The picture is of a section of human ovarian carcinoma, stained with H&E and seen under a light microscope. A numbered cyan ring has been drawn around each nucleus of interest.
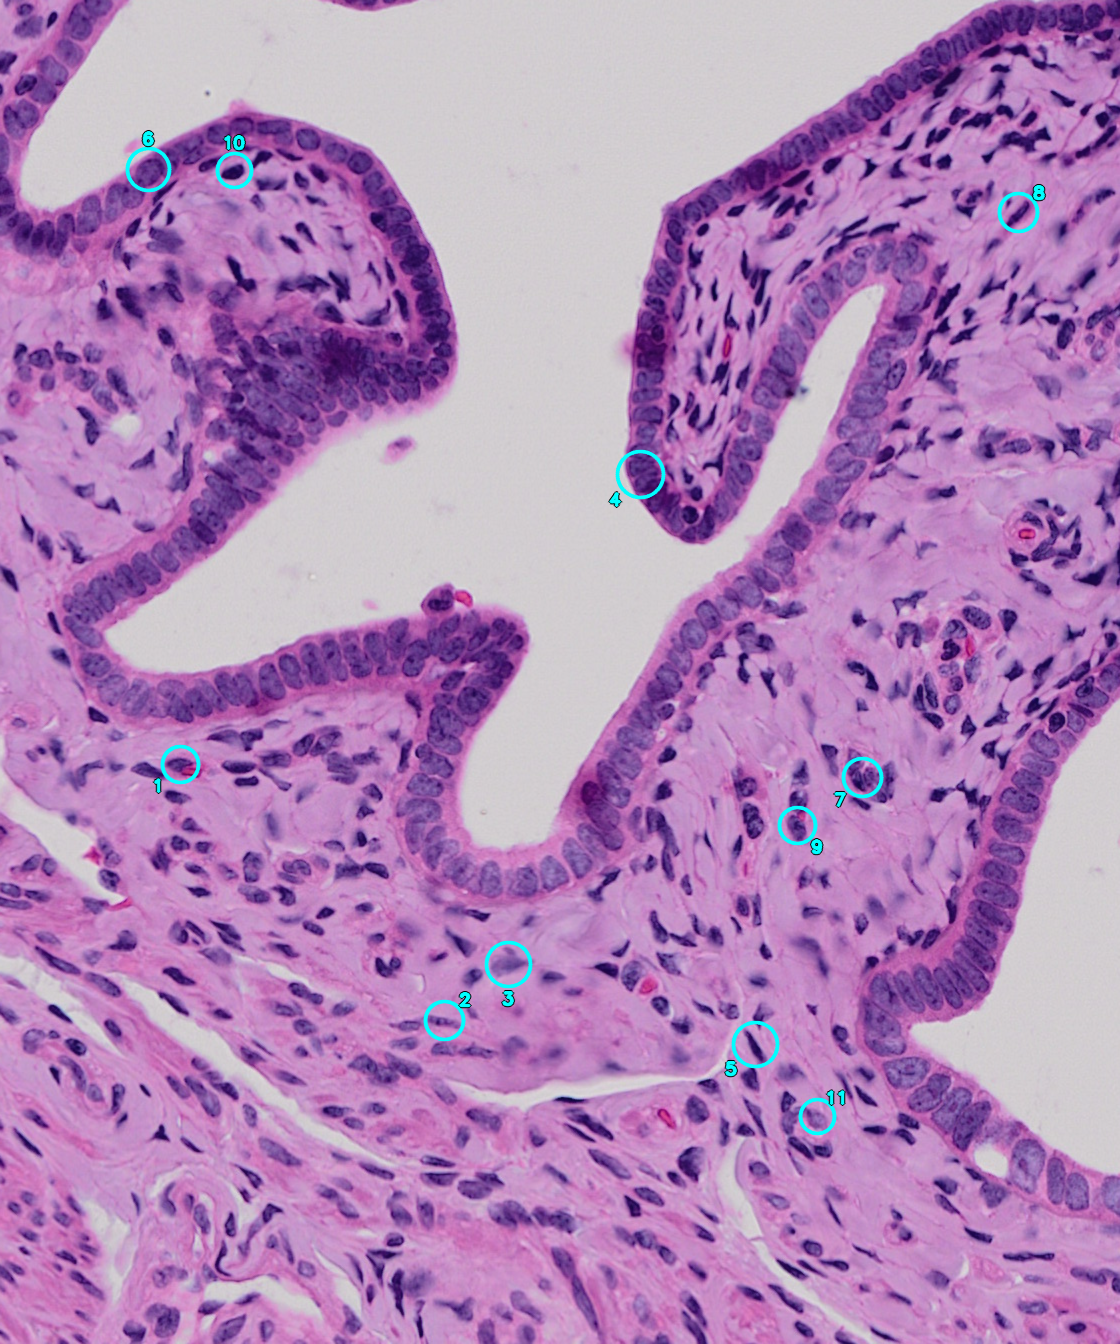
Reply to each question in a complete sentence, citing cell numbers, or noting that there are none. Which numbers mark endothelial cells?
The cells whose numbers are 1, 7, 8, 9 and 11 are endothelial cells.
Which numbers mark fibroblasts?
Cells 3 and 5 in the section are typed as fibroblasts.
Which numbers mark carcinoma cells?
The cells numbered 4 and 6 are of the kind known as carcinoma cells.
